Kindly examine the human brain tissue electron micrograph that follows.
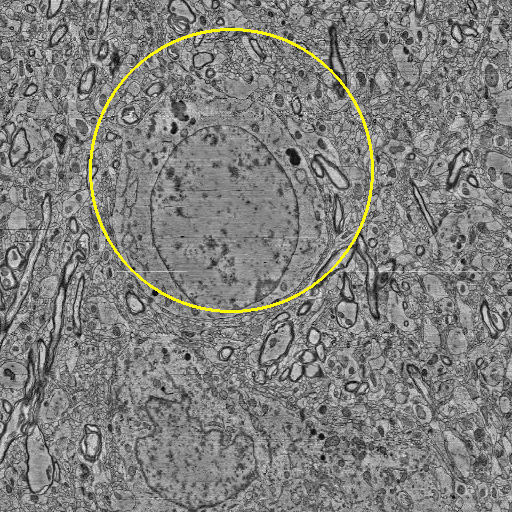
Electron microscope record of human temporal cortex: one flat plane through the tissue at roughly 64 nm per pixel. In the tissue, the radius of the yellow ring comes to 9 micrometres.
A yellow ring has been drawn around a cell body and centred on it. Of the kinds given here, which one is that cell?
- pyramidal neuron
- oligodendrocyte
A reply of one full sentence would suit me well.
The micrograph's ringed cell, the one at the ring's centre, is a pyramidal neuron.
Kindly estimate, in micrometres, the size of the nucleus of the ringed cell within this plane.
The nucleus comes to roughly 12 by 10 micrometres in this plane.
